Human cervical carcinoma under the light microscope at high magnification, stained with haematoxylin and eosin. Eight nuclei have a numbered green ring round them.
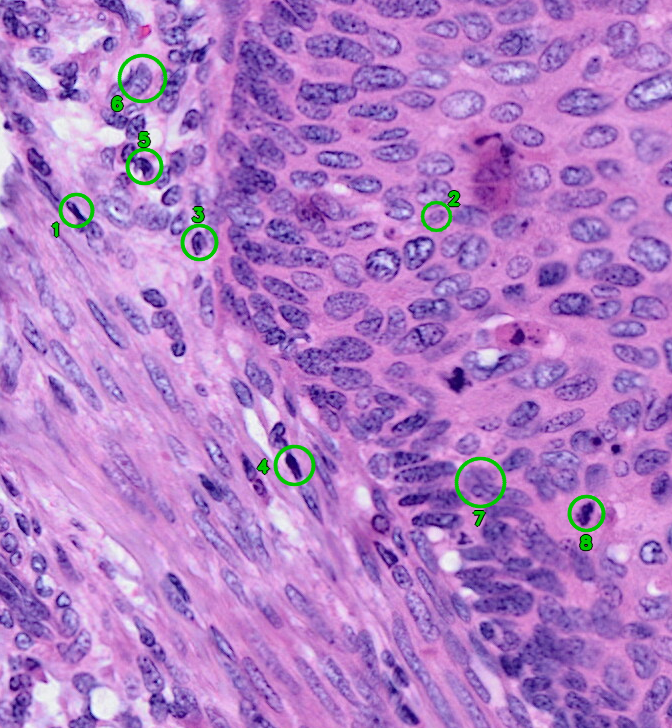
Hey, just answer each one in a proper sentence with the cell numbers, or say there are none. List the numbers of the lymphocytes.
The cells 1, 3, 4 and 5 in this section are lymphocytes.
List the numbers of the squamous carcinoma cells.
The cells that bear the numbers 2, 7 and 8 are squamous carcinoma cells.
